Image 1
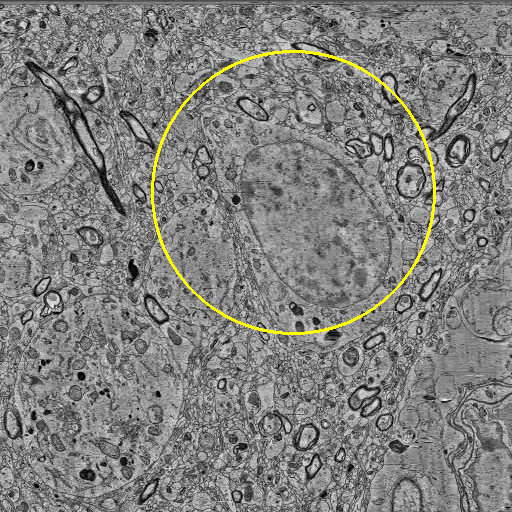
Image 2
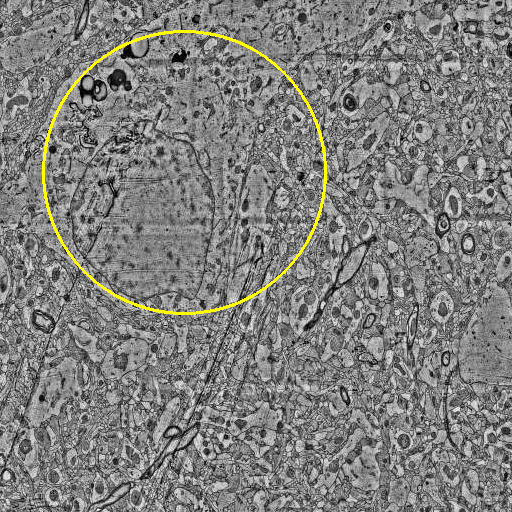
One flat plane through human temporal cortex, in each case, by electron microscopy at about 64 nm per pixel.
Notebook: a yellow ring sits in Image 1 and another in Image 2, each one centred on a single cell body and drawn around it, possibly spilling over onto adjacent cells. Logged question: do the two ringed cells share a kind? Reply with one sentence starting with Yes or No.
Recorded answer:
No, the centre cells inside the rings of Image 1 and Image 2 are of two kinds.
